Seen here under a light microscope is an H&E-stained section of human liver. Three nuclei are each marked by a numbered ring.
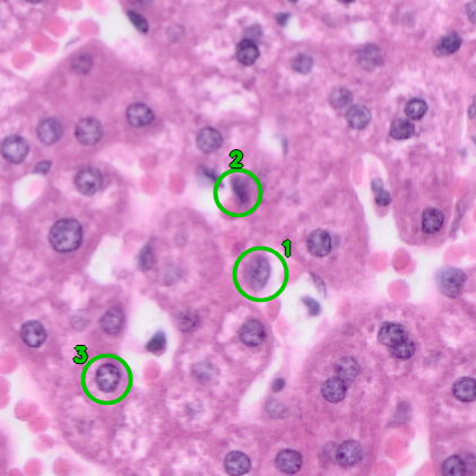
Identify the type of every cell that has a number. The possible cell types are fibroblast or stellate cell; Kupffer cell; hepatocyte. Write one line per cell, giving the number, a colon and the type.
1: Kupffer cell
2: fibroblast or stellate cell
3: hepatocyte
